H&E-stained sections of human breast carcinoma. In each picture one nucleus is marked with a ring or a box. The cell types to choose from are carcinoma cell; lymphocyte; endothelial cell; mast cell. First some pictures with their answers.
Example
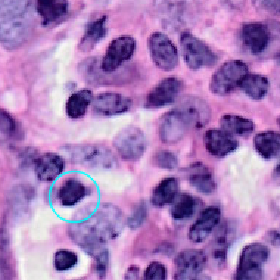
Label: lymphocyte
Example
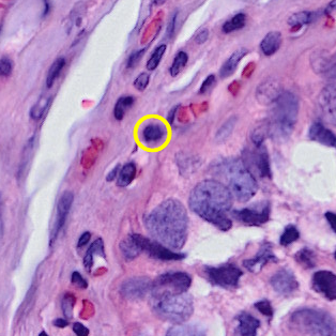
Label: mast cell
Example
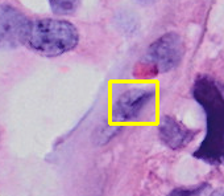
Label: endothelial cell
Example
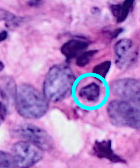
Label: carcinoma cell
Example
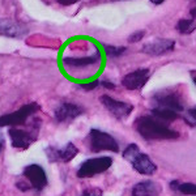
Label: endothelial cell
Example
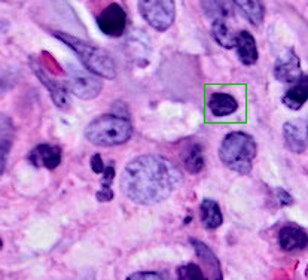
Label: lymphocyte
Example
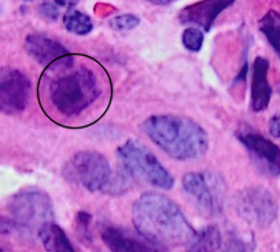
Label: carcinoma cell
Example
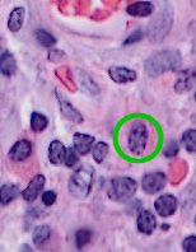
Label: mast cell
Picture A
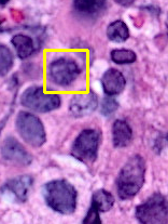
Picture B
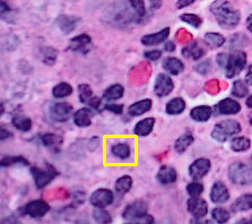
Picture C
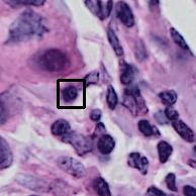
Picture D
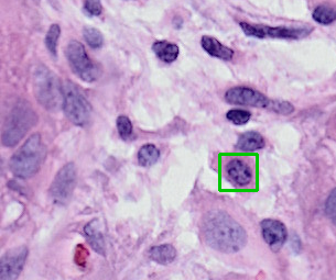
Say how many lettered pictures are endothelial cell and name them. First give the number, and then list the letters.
0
